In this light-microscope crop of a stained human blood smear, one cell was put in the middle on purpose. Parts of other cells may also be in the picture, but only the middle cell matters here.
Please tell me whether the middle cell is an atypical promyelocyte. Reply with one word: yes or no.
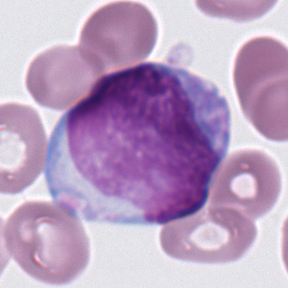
yes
